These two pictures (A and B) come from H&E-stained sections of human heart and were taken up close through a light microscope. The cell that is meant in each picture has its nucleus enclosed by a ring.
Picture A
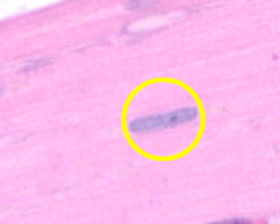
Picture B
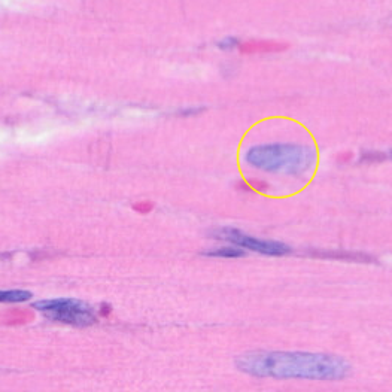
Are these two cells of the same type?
yes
